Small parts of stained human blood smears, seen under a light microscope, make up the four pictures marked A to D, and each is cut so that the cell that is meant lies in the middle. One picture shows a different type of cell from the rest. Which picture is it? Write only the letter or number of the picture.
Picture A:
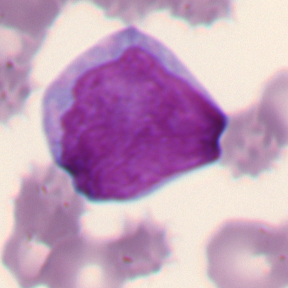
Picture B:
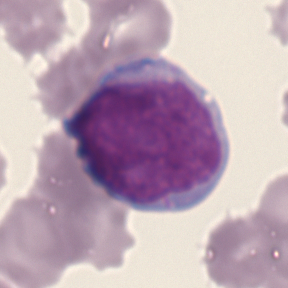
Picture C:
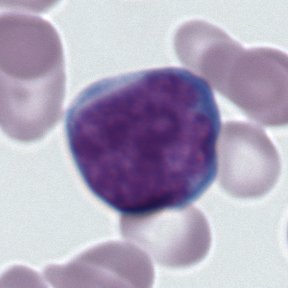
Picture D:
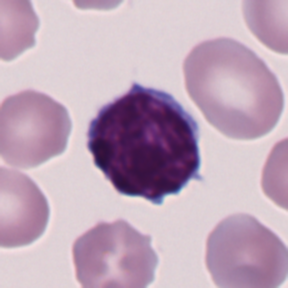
D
